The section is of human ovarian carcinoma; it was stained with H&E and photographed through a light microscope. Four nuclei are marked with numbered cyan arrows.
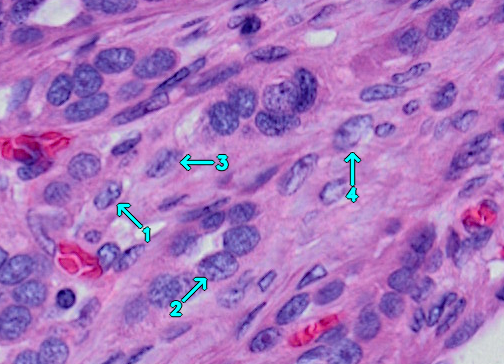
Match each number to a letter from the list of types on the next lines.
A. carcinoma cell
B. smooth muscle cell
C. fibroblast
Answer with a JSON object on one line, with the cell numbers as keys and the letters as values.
{"1": "C", "2": "A", "3": "C", "4": "C"}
